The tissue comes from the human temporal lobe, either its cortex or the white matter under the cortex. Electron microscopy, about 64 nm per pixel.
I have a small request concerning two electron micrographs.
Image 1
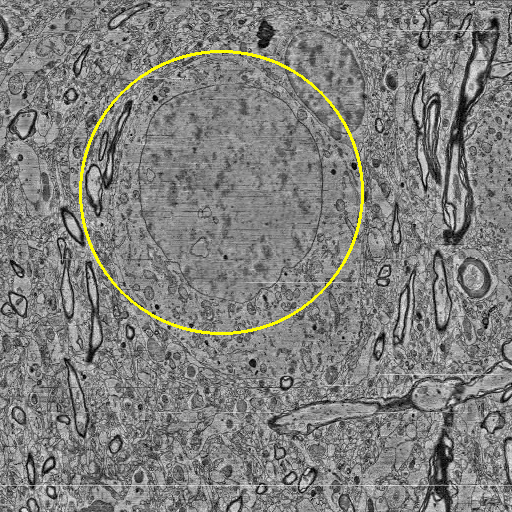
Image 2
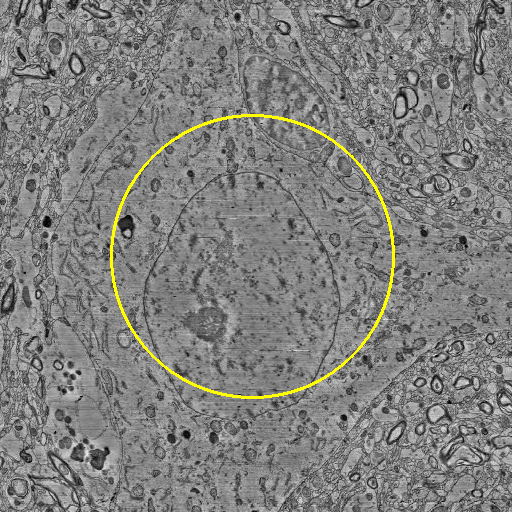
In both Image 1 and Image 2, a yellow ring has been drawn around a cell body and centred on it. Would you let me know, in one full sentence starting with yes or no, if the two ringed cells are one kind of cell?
Yes, the cells ringed in Image 1 and Image 2 are one kind of cell.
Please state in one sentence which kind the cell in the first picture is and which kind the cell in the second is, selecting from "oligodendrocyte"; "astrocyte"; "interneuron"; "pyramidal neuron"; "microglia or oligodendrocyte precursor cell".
Each cell at the centre of a ring is a pyramidal neuron.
